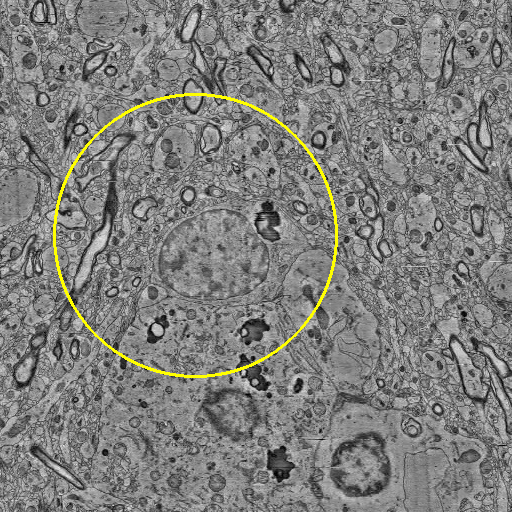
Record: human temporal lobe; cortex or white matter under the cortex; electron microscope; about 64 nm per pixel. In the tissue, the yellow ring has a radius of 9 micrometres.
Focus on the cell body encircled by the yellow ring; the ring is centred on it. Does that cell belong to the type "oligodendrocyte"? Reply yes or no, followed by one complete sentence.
Yes, that type fits the cell lying at the centre of the ring in the picture.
